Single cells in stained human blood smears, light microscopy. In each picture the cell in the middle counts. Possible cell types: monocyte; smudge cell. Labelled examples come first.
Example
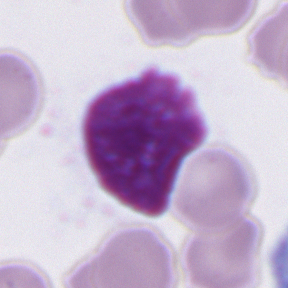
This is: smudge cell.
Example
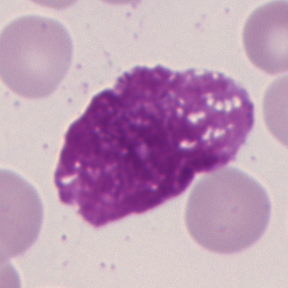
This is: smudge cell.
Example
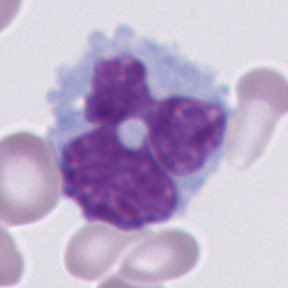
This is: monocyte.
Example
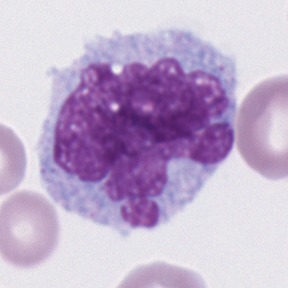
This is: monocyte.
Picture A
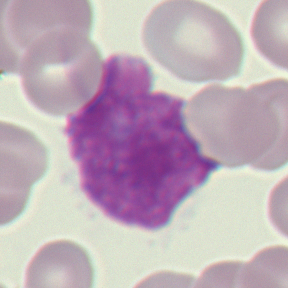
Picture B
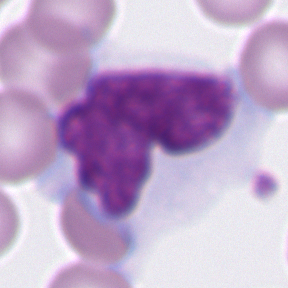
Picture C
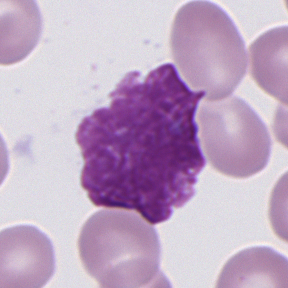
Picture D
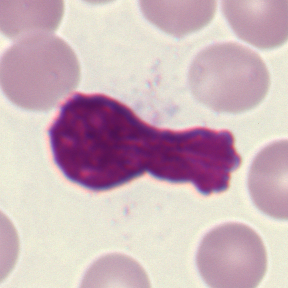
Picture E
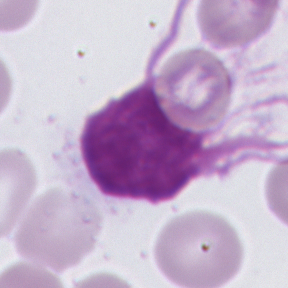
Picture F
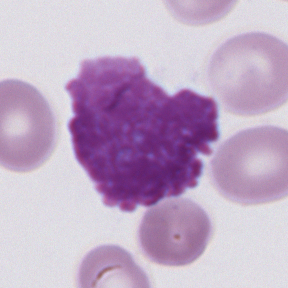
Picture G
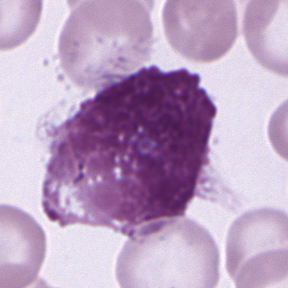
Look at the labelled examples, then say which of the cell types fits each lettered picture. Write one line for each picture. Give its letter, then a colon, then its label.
A: smudge cell.
B: monocyte.
C: smudge cell.
D: smudge cell.
E: smudge cell.
F: smudge cell.
G: smudge cell.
